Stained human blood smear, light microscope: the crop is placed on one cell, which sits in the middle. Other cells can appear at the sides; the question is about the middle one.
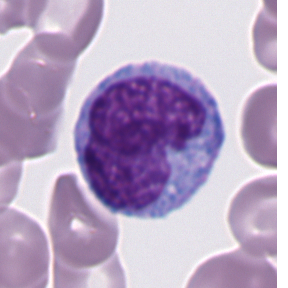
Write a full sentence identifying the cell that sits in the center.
In the middle of this smear crop is a monocyte.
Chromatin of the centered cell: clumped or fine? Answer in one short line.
Check the chromatin: it is fine and not coarsely clumped.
